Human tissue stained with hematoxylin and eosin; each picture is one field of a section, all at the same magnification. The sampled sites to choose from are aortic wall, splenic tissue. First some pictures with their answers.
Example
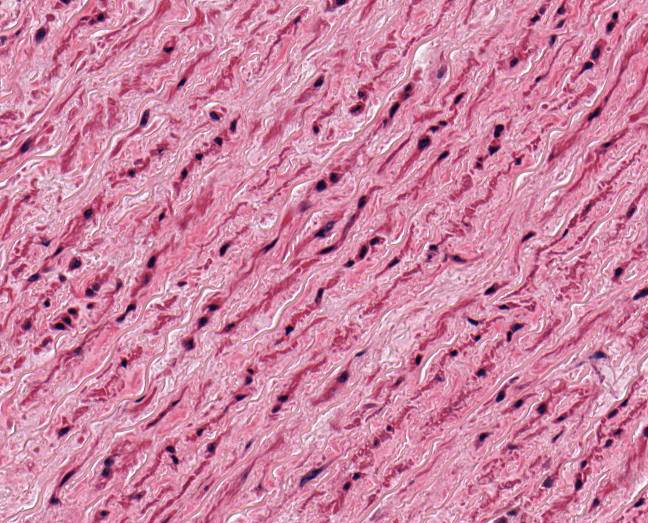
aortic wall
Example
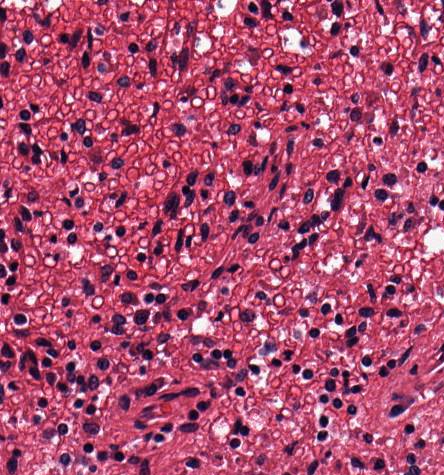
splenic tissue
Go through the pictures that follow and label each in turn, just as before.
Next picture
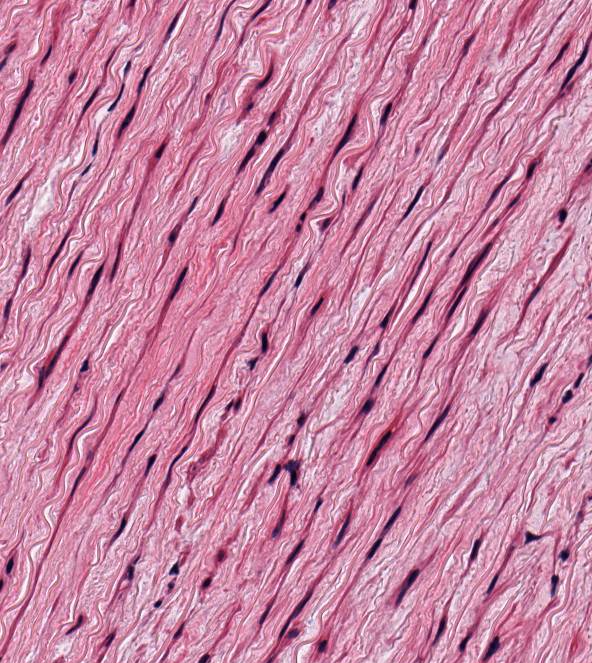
aortic wall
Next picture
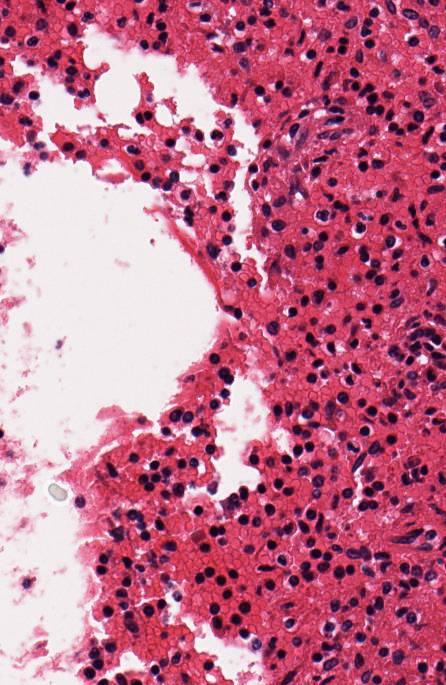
splenic tissue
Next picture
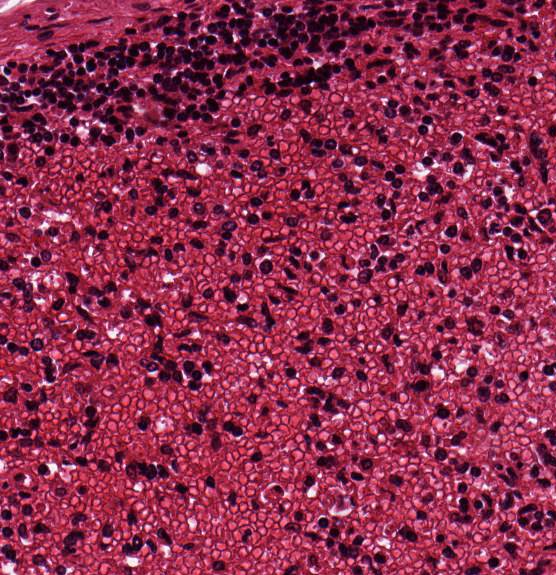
splenic tissue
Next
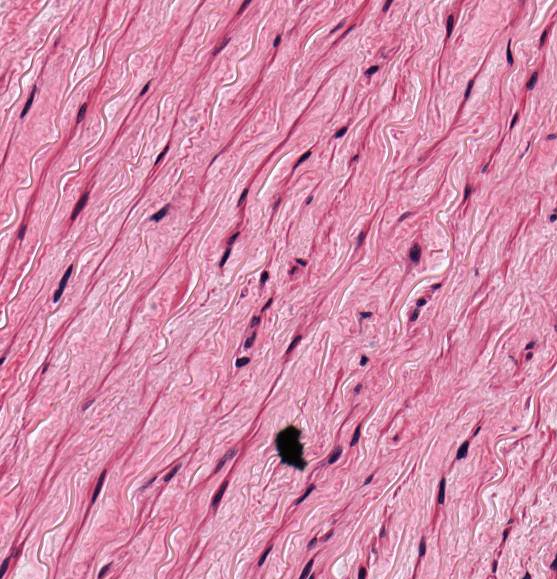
aortic wall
